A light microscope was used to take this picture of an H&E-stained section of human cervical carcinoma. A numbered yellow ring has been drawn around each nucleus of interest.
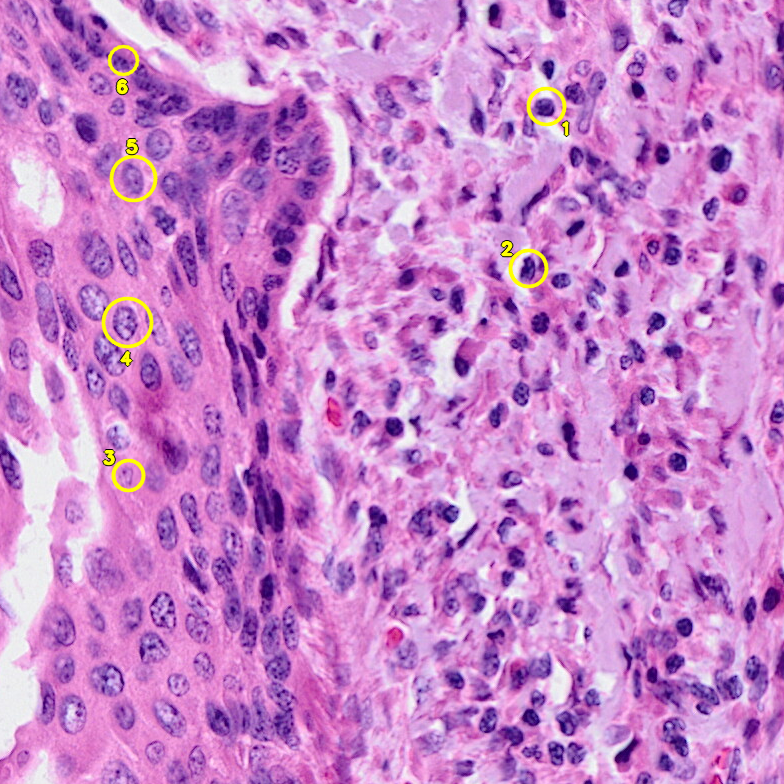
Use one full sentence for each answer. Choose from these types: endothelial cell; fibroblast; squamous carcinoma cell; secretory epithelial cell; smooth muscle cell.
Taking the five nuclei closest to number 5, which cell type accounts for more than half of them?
The majority of the five nuclei closest to number 5 belong to squamous carcinoma cells.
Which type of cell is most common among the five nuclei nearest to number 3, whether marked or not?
Of the five nuclei nearest to number 3, most belong to squamous carcinoma cells.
